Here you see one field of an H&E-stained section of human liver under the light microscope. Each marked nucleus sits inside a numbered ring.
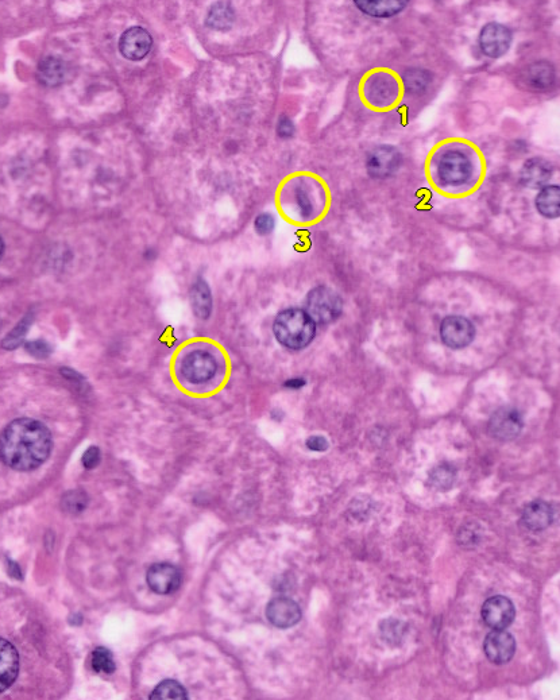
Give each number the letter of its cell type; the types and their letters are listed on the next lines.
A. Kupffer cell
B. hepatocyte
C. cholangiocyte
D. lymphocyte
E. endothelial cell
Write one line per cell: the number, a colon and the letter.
1: B
2: B
3: E
4: B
